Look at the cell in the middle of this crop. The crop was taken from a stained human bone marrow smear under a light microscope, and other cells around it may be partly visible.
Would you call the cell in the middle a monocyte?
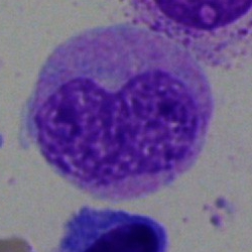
no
